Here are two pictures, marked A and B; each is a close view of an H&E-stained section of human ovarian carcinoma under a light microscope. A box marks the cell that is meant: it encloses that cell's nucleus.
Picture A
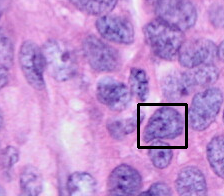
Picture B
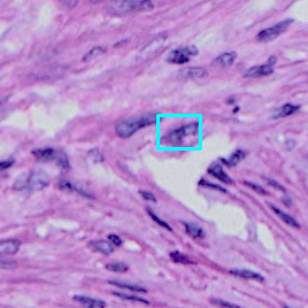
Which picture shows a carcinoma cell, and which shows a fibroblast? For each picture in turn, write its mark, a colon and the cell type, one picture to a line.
A: carcinoma cell
B: fibroblast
